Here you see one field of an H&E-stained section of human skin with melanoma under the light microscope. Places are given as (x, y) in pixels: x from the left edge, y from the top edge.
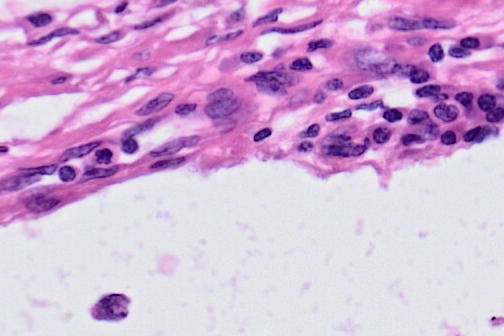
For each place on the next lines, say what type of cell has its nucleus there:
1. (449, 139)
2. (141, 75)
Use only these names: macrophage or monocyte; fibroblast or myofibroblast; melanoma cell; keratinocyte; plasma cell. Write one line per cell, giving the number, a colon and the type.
1: plasma cell
2: fibroblast or myofibroblast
